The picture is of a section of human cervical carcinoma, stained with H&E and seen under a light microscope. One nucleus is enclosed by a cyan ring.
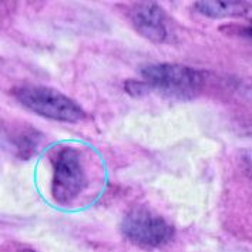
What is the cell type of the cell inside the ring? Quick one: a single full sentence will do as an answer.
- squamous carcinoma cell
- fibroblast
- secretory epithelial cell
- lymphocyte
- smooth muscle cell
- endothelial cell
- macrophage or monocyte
Within this tissue, the cell inside the ring is a macrophage or monocyte.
